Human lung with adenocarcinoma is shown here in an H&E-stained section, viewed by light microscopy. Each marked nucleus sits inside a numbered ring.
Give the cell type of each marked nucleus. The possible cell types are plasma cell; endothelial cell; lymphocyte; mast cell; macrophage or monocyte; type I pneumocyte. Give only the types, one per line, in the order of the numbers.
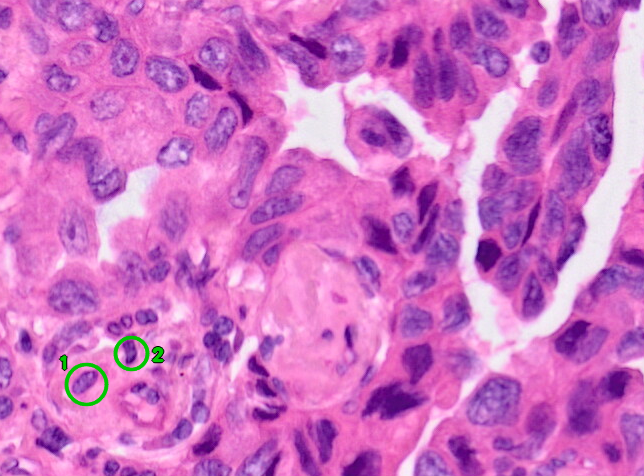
mast cell
plasma cell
